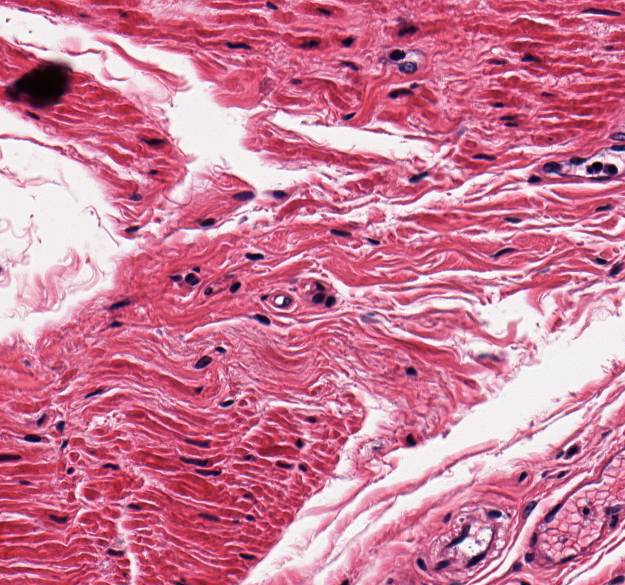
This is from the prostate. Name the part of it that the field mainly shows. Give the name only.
fibromuscular stroma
